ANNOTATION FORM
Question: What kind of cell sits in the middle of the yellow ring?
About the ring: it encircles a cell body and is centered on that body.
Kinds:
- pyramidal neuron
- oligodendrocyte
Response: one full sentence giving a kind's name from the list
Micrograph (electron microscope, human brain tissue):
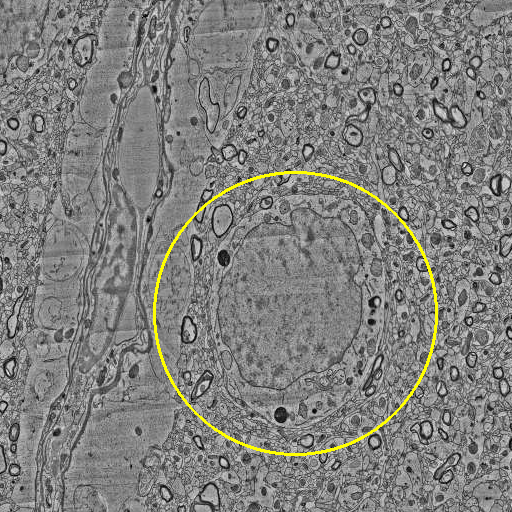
The kind of cell found at the center of the yellow ring in the micrograph is a pyramidal neuron.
